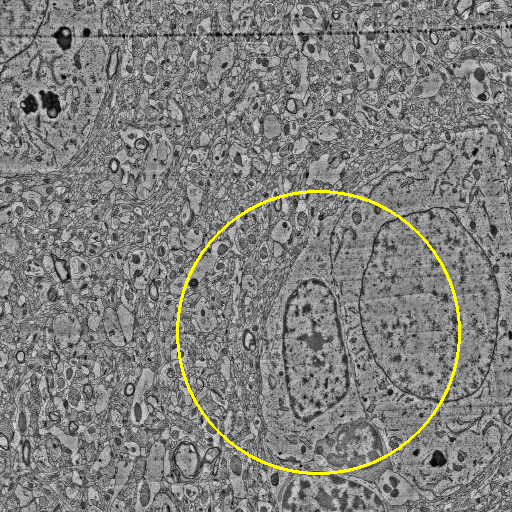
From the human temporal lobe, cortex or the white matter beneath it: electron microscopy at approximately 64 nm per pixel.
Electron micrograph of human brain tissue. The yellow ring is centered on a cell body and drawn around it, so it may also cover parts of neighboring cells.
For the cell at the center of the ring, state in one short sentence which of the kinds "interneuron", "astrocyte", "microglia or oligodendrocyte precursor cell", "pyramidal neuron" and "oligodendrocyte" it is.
This ring is centered on a microglial cell or oligodendrocyte precursor cell.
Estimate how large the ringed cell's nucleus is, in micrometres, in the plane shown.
Clearly longer than it is wide in this plane, the nucleus measures roughly 9 by 4 micrometres.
